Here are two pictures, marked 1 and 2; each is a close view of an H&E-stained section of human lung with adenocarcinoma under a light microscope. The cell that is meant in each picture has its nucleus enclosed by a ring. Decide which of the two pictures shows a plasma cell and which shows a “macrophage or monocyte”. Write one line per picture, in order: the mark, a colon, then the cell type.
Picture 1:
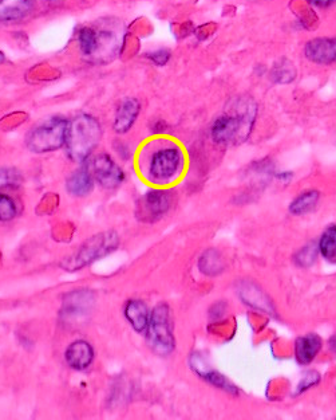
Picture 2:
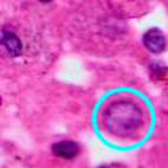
1: plasma cell
2: macrophage or monocyte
